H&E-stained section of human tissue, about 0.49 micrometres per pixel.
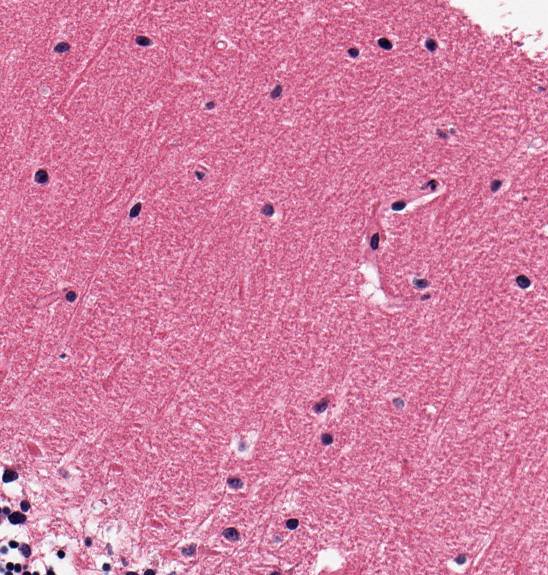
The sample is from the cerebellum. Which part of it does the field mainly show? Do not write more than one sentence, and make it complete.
The part of tissue on this slide is termed molecular layer.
